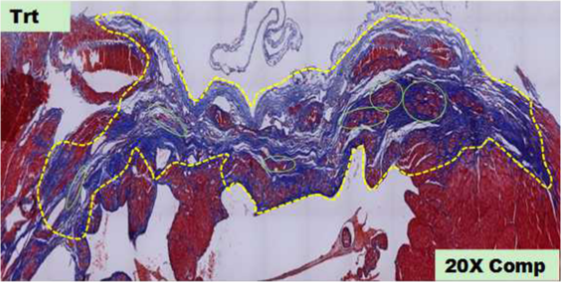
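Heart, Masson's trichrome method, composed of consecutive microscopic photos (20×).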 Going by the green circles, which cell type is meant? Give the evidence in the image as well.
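Myocyte-like cell clusters. The circled spots are red-stained patches. They lie within blue-stained fibrous tissue inside the dashed outline.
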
